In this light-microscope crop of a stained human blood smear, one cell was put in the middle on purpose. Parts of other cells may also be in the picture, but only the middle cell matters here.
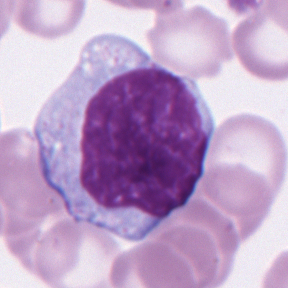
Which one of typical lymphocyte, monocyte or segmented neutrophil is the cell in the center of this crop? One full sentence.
This crop is built around a monocyte at its centre.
